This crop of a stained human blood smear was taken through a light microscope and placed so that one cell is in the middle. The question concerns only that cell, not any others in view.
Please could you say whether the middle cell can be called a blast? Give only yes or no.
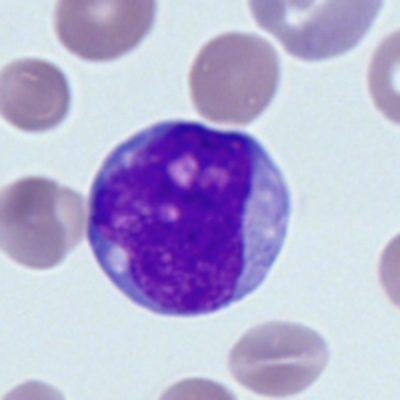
yes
